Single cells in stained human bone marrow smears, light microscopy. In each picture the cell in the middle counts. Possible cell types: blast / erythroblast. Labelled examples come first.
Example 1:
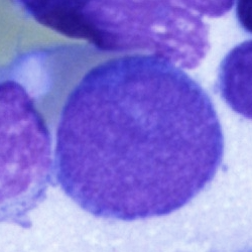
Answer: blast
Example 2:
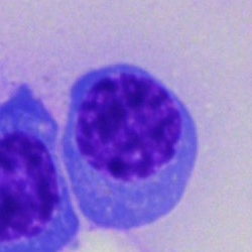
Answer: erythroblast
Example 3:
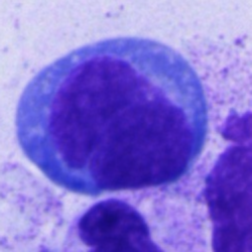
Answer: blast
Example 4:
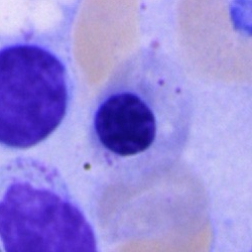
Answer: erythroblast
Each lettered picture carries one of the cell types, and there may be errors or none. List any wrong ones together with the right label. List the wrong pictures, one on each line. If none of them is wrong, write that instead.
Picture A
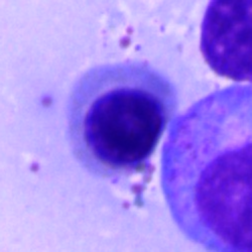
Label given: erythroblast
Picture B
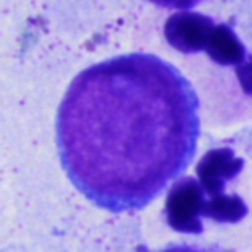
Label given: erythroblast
B: blast, not erythroblast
